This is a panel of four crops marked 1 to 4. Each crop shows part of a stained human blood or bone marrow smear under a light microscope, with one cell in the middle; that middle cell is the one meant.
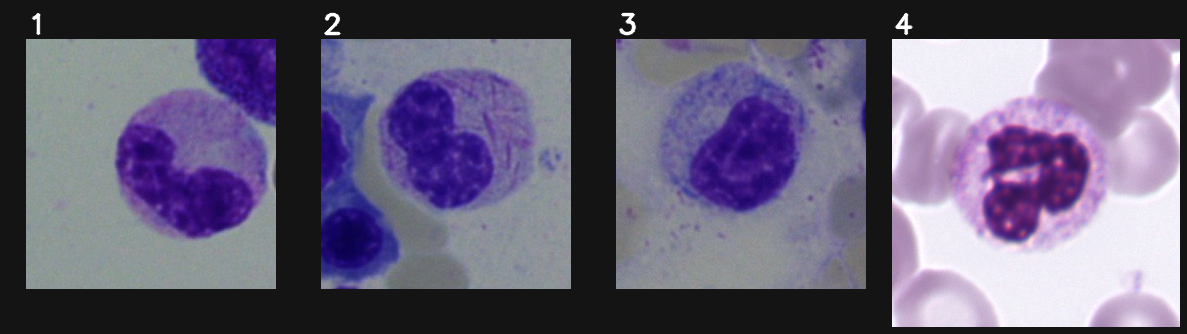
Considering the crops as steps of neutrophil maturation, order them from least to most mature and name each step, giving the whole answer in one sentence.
The correct order from least to most mature is crop 3 (a myelocyte), crop 2 (a metamyelocyte), crop 1 (a band neutrophil) and crop 4 (a segmented neutrophil).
